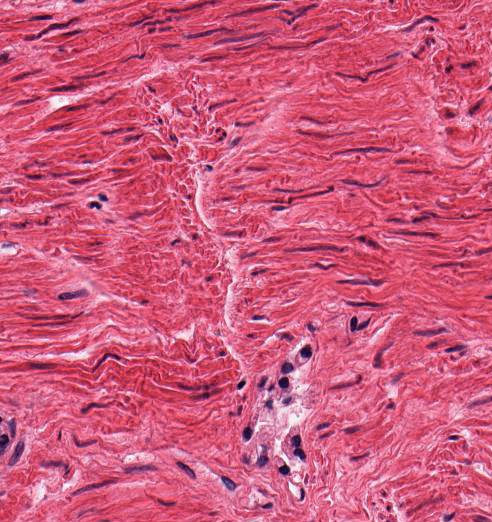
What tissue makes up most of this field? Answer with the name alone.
fibromuscular stroma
